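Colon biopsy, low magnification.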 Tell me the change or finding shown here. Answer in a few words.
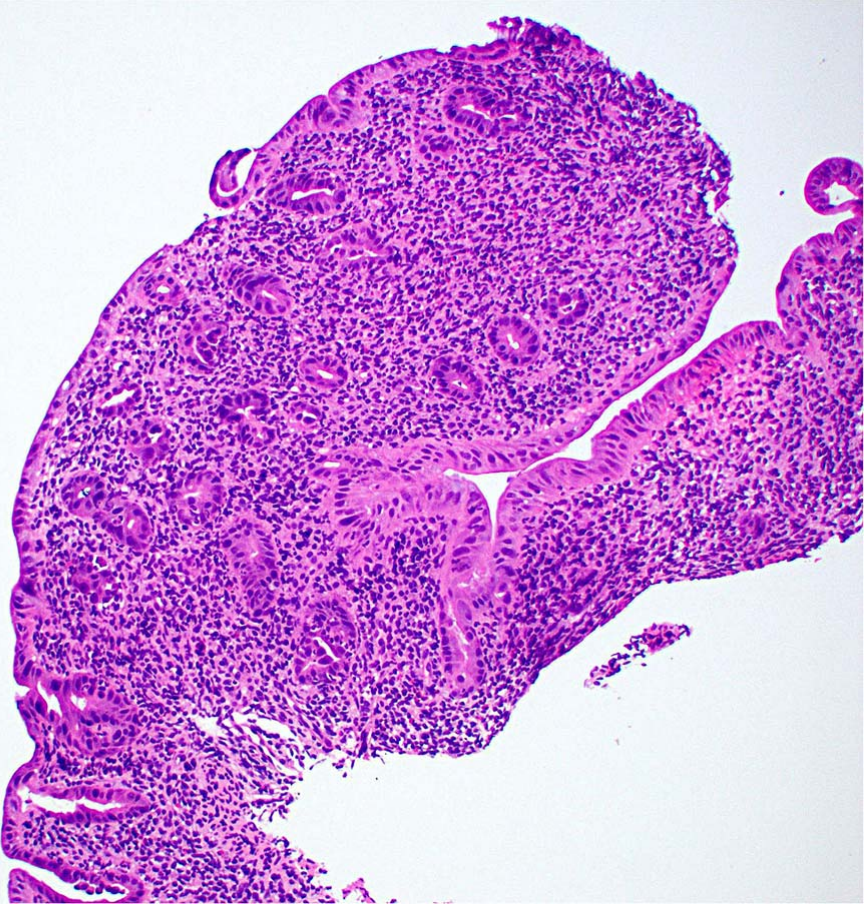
increased lymphoplasmacytic inflammatory infiltrate within lamina propria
